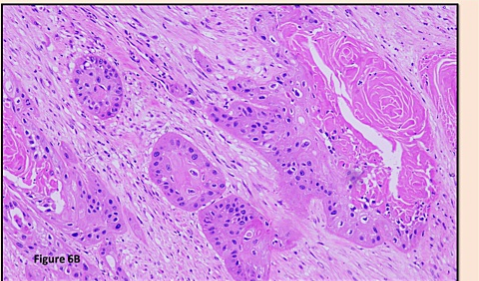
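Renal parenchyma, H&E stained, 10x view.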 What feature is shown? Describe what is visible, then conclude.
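Keratin pearl. Concentric whorled layers of eosinophilic material sit within an epithelial nest at upper right. Pink lamellated keratin-like material occupies the center of the larger nests.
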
